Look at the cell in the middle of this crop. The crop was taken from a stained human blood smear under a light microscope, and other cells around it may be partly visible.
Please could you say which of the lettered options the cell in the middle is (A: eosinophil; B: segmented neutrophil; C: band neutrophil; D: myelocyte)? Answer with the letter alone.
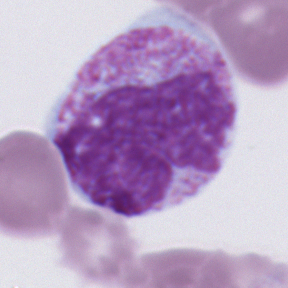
C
